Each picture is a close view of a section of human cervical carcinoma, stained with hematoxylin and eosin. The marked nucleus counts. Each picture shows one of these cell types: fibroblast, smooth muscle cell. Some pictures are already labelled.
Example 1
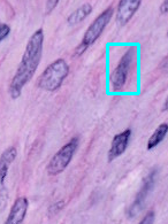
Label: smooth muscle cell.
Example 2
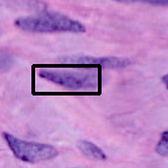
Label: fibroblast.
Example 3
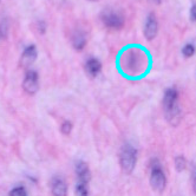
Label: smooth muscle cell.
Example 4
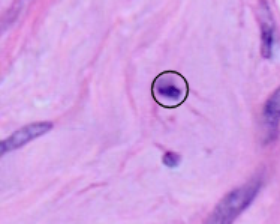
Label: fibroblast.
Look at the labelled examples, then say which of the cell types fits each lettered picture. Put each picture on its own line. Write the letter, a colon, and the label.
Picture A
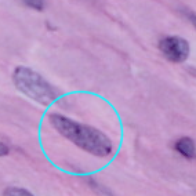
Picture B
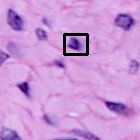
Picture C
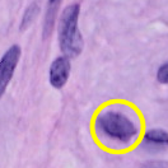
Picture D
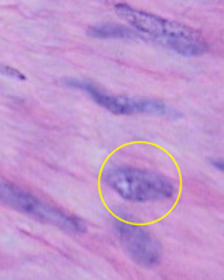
A: fibroblast.
B: fibroblast.
C: fibroblast.
D: smooth muscle cell.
